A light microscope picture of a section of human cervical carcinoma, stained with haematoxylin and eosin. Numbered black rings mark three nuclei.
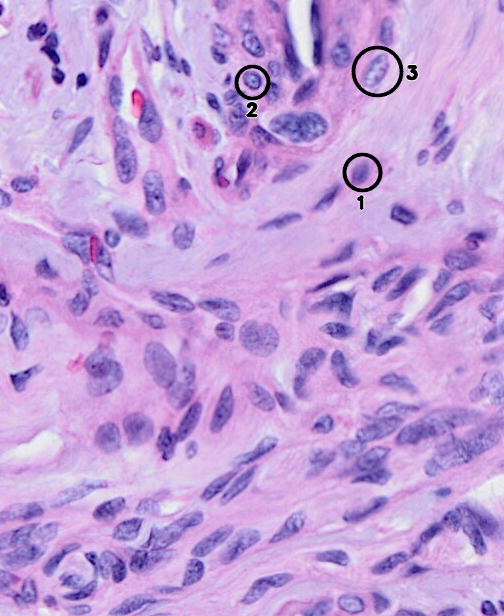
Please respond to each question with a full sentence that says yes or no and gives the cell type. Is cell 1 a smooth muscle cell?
No, cell 1 is not a smooth muscle cell; an endothelial cell is correct.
